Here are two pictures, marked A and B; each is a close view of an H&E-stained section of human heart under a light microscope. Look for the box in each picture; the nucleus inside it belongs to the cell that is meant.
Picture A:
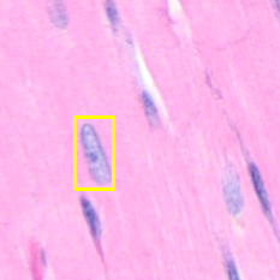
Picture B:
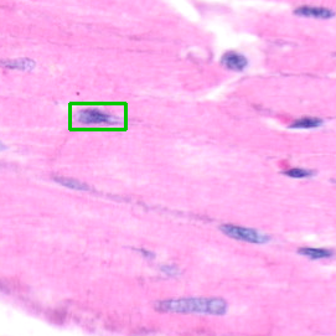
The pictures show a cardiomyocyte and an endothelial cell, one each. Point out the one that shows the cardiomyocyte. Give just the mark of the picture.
A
